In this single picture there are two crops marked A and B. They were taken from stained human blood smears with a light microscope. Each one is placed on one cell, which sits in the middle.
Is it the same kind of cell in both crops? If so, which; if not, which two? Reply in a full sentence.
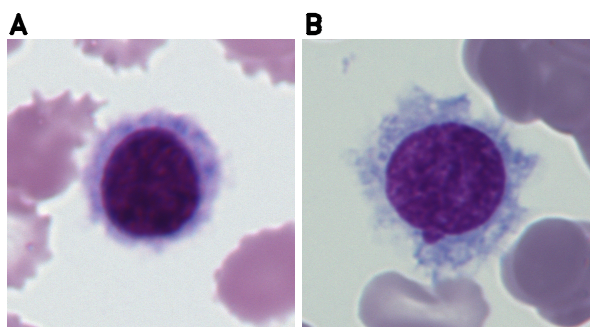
Yes, hairy cells are present at the centre of both crops.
